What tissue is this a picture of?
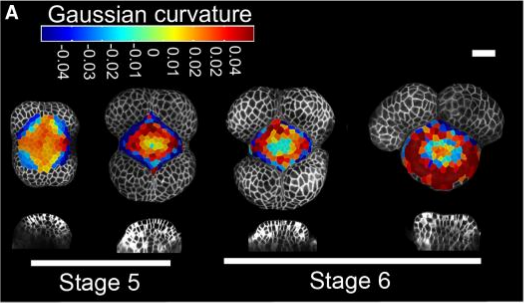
Floral meristems.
